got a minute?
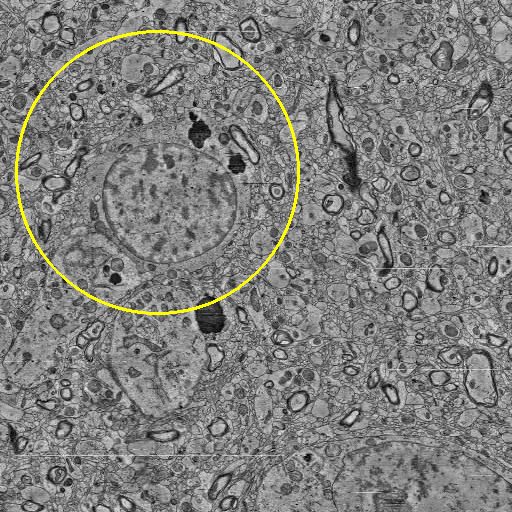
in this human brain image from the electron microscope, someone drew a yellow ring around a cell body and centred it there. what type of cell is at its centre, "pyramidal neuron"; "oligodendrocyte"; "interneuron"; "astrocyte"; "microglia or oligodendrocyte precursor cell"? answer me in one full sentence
It's an oligodendrocyte at the middle of that yellow ring in the shot.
